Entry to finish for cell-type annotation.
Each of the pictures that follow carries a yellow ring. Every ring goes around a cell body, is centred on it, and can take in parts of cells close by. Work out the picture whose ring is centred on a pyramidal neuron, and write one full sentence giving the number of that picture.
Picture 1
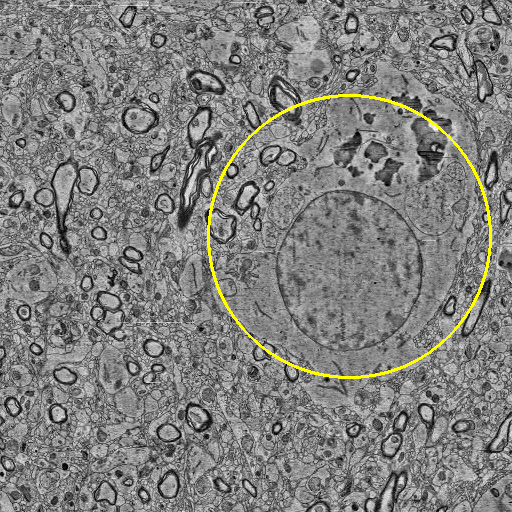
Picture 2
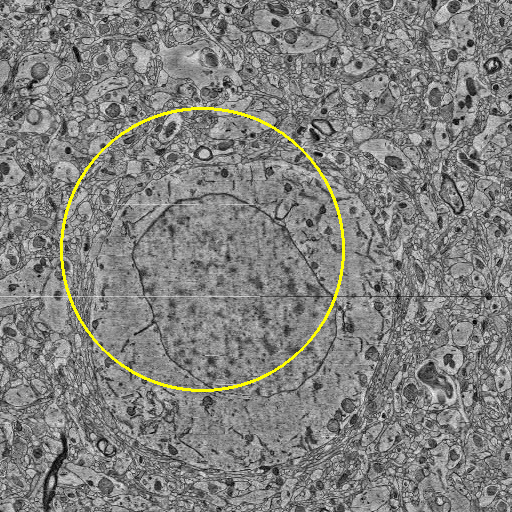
The cell at the heart of the ring in picture 2 matches the request.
